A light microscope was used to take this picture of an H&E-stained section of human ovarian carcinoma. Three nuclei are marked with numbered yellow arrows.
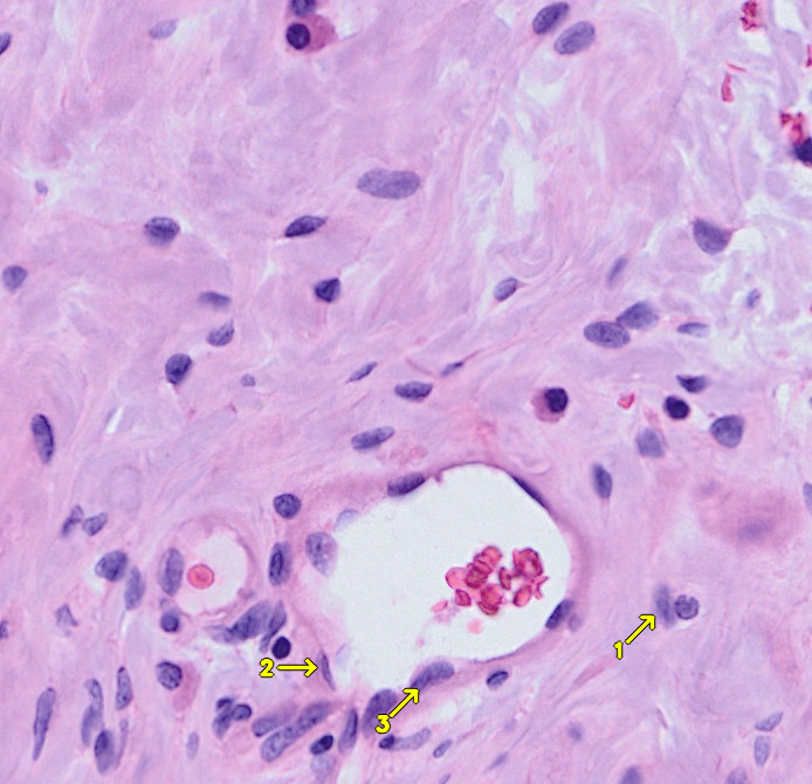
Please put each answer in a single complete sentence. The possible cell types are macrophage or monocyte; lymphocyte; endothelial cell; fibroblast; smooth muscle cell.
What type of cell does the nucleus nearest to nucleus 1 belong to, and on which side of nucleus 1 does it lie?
The nearest one is a lymphocyte, found to the right of nucleus 1.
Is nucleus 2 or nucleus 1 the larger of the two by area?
Nucleus 1 is the larger one, covering about 2 times the area of nucleus 2.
